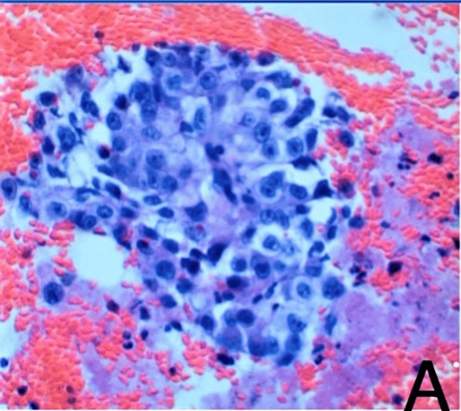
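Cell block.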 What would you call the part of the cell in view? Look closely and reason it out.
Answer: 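Prominent nucleoli. Many of the rounded nuclei contain a conspicuous dark dot-like nucleolus.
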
